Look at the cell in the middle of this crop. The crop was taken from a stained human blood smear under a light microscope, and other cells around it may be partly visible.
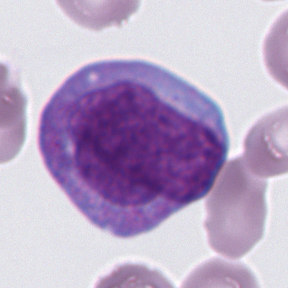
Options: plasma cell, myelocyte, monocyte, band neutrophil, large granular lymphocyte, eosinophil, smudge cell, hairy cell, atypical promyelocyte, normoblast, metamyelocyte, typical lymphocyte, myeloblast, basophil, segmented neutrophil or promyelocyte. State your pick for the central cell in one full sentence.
Looking at the middle of the crop, the cell there is an atypical promyelocyte.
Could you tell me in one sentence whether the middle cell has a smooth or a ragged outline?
A smooth, projection-free outline is what this cell has.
